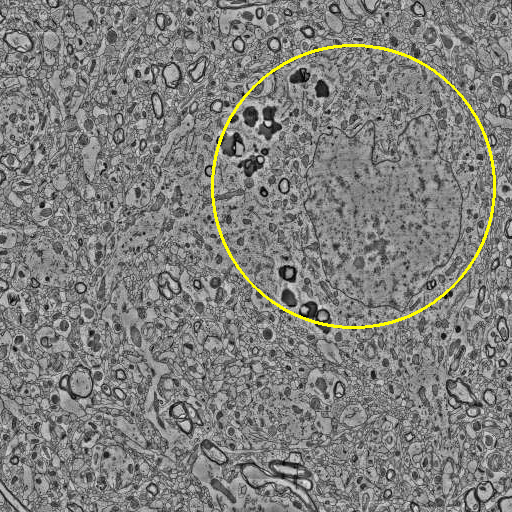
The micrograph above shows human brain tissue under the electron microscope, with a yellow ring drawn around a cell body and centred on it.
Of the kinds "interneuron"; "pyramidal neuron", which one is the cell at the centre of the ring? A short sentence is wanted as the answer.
The one at the centre of the ring is a pyramidal neuron.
